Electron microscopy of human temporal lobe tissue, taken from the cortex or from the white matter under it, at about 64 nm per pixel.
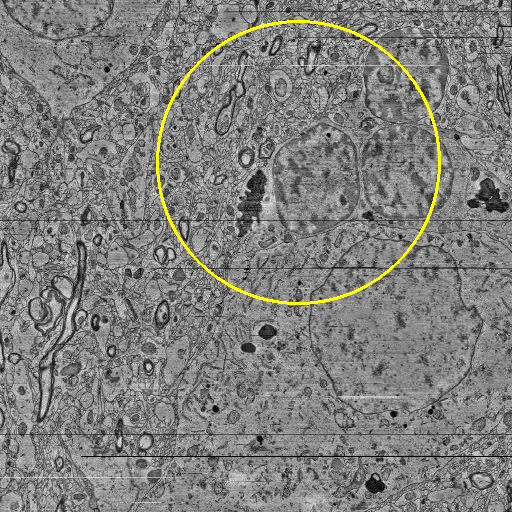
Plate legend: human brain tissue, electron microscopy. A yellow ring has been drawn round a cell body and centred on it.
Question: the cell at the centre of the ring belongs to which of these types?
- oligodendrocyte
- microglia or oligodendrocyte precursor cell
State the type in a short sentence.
The cell in the middle of the ring is an oligodendrocyte.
